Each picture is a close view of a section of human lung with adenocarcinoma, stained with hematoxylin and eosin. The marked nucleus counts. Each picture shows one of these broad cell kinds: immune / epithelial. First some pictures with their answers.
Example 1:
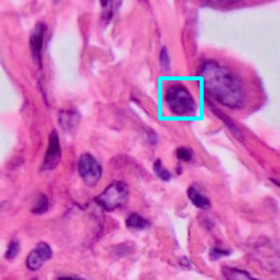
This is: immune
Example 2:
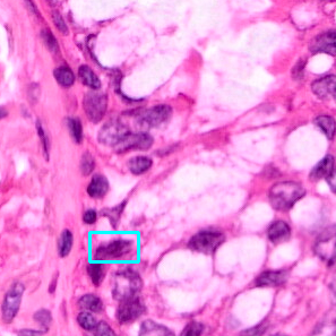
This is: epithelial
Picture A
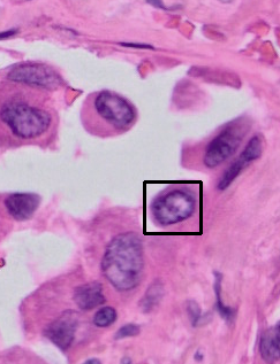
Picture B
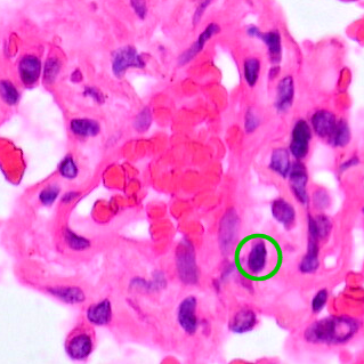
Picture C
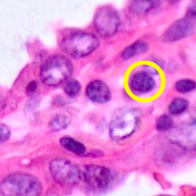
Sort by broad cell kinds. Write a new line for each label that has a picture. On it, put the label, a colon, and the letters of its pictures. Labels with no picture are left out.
immune: B, C
epithelial: A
